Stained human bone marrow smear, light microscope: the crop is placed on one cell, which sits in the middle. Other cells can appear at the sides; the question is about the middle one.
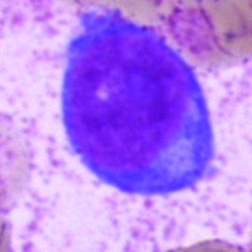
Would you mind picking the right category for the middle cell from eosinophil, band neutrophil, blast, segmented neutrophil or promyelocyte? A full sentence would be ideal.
The central cell in this smear crop is a blast.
